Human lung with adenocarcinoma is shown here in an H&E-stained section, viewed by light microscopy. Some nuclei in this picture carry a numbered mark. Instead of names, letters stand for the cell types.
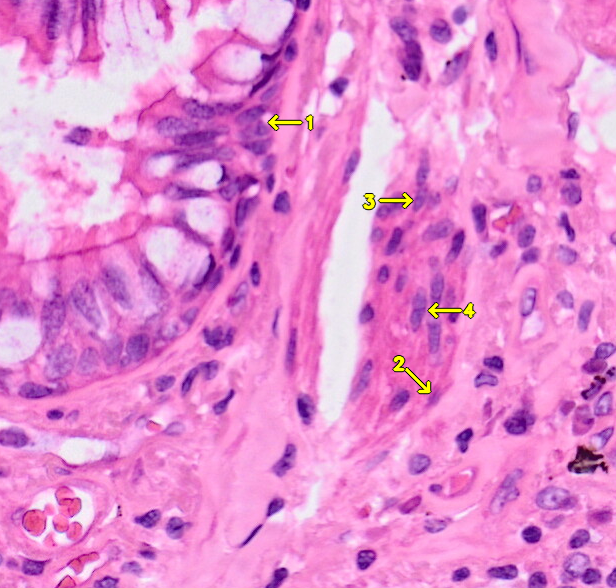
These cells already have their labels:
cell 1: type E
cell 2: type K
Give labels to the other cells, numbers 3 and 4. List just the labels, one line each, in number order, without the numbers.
type K
type K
